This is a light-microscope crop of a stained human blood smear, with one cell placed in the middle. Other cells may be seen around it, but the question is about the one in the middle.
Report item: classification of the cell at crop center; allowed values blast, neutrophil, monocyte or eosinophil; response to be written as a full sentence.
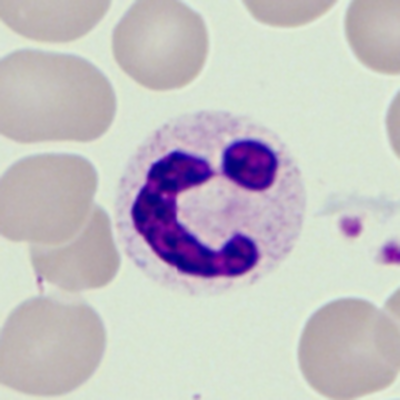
Present in the middle of the crop is a neutrophil.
